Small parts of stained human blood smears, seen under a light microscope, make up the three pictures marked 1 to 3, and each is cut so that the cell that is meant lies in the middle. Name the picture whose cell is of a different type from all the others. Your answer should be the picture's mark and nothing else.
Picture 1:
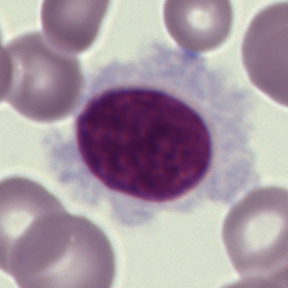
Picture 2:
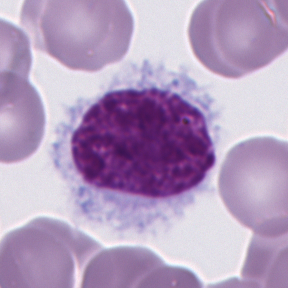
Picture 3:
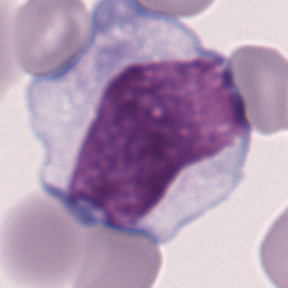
3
